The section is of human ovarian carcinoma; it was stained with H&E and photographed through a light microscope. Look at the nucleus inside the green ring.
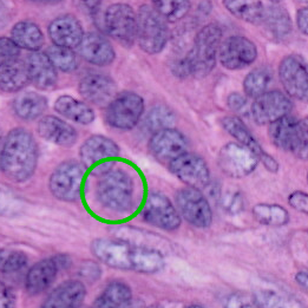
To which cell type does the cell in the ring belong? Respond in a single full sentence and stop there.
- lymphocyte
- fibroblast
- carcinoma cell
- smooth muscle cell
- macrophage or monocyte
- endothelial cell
As for its identity, the cell in the ring is a carcinoma cell.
